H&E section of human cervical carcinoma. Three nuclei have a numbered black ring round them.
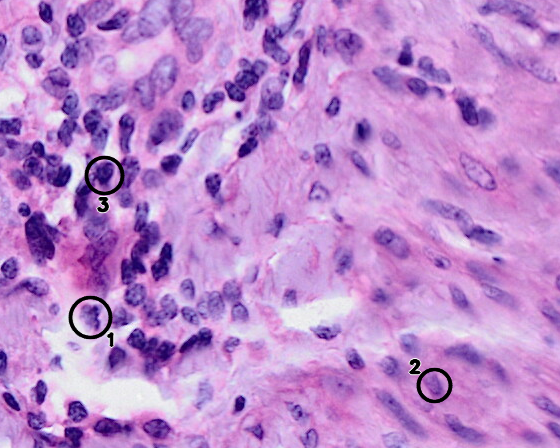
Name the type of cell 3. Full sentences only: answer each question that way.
Cell 3 in the field is a lymphocyte.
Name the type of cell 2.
The label 2 in this section denotes a smooth muscle cell.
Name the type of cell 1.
Cell 1, as marked in the section, is a lymphocyte.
